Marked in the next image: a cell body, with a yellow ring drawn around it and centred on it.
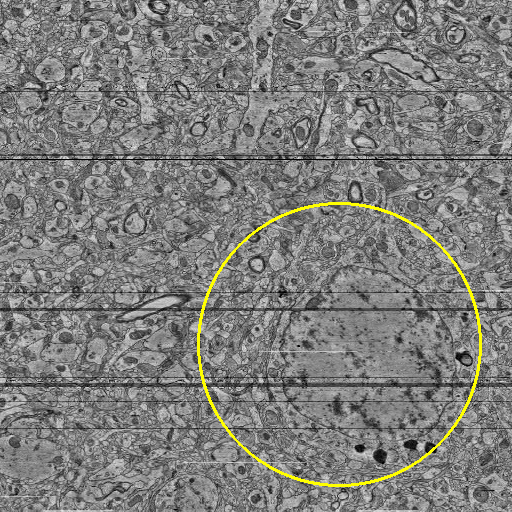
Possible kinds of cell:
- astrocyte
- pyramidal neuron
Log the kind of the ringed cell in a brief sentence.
The ringed cell body is that of a pyramidal neuron.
